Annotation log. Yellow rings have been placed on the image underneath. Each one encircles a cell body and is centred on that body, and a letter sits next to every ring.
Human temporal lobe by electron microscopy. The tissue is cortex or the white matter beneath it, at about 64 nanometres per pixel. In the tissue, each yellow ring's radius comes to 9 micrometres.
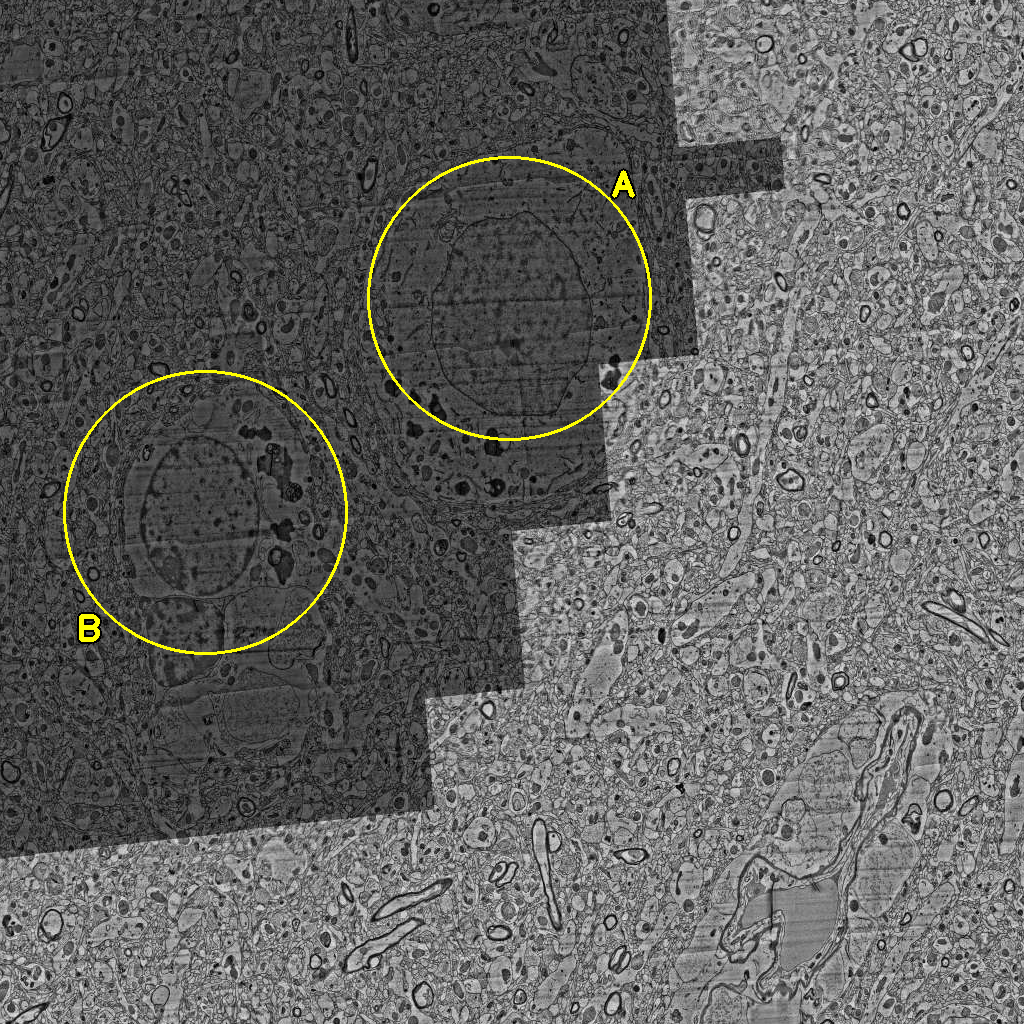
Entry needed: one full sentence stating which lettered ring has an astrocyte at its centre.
The cell asked for sits at the centre of Ring B in the picture.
